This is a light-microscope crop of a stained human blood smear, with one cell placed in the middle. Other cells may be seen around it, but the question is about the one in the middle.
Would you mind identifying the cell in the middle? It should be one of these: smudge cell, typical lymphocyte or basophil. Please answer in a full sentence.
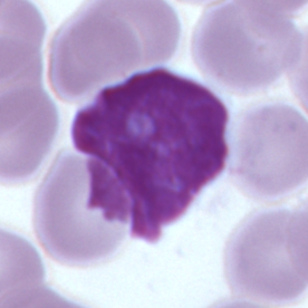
The target cell in the middle of the crop is a smudge cell.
